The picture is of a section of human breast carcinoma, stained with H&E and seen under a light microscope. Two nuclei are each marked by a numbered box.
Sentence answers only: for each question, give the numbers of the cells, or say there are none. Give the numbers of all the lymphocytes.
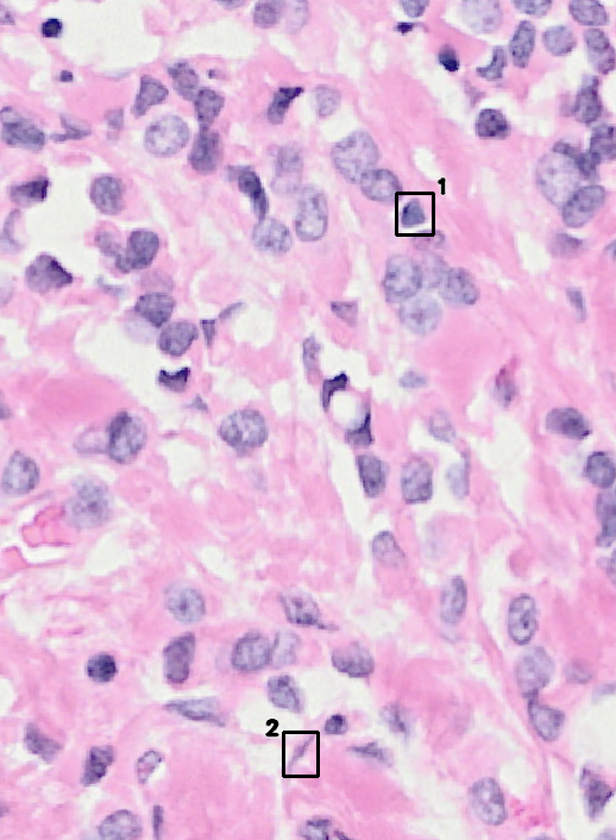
The one cell that is a lymphocyte is cell 1, and no other.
